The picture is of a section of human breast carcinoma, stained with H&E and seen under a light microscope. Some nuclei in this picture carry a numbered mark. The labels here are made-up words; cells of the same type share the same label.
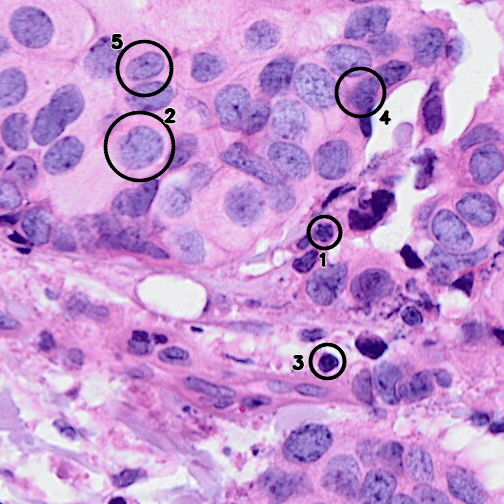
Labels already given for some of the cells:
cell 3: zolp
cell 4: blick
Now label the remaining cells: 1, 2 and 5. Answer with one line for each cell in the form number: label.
1: zolp
2: blick
5: blick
